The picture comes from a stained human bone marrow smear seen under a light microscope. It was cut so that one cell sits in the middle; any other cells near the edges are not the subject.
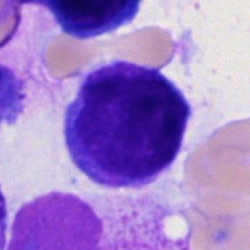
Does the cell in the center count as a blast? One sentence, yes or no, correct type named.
Yes, the central cell is to be recorded as a blast.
